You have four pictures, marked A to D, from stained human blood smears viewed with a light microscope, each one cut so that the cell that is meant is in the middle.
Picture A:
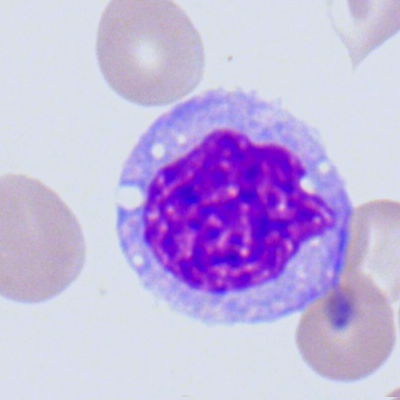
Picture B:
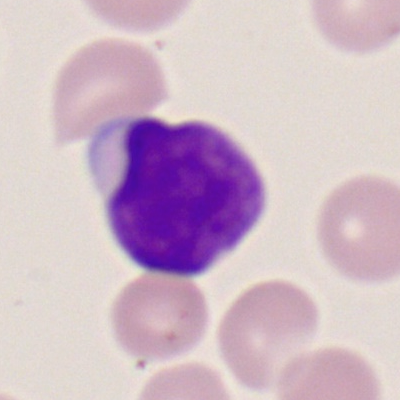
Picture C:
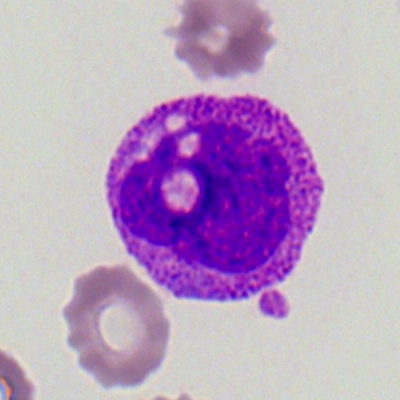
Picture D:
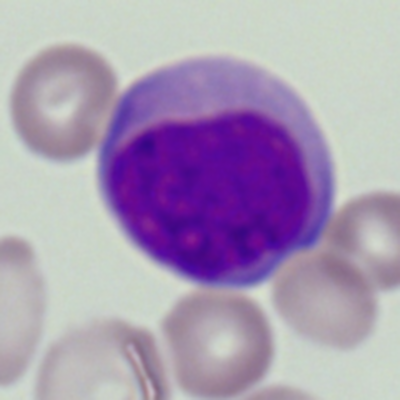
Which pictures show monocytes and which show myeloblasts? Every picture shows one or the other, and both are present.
A: monocyte
B: myeloblast
C: monocyte
D: myeloblast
